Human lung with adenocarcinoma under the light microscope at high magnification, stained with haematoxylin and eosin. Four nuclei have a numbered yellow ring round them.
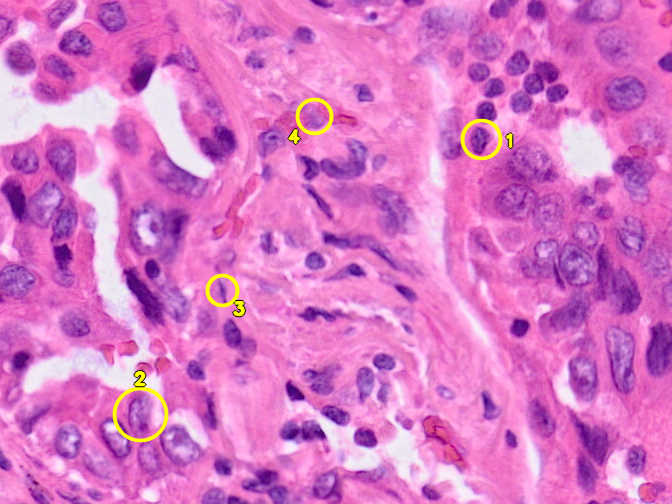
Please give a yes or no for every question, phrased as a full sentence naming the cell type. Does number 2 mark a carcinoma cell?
Yes, it is a carcinoma cell that number 2 identifies.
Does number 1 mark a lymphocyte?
Yes, the cell that bears the number 1 is a lymphocyte.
